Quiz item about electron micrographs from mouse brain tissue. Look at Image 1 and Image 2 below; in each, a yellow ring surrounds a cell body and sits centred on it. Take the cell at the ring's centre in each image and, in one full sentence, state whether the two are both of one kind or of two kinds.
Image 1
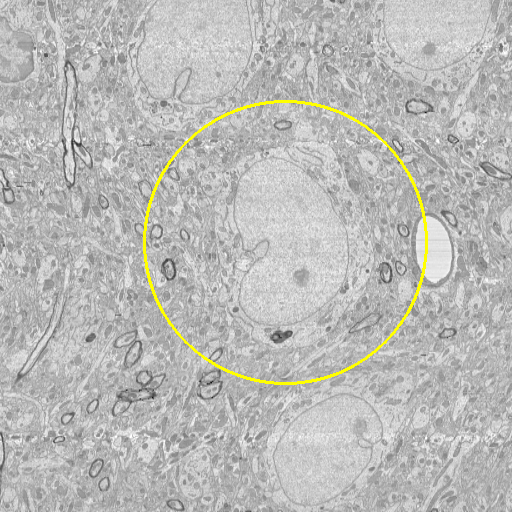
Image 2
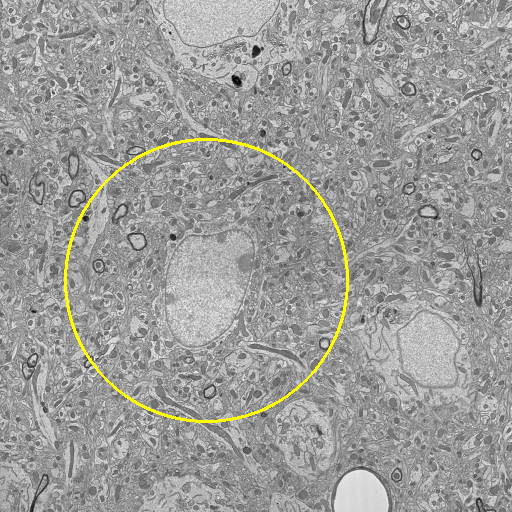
In Image 1 and Image 2, the cells at the ring centres are of two kinds.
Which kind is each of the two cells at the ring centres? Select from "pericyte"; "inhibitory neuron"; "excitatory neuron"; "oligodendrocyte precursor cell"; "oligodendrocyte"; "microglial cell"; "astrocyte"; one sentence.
The cell at the centre of the ring is an excitatory neuron in the first picture and an astrocyte in the second.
